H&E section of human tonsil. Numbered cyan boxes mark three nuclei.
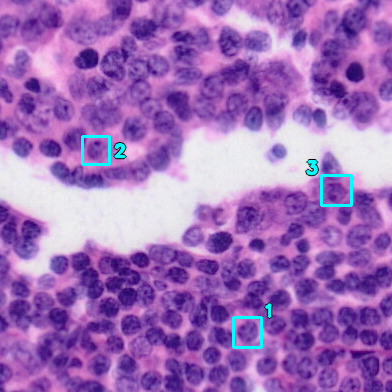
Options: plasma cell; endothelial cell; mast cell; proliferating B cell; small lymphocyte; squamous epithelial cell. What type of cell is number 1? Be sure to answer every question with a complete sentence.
Identified as a small lymphocyte is the cell bearing the number 1.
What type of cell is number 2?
The cell referred to as 2 is a proliferating B cell.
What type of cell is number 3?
Cell 3 of the marked set is a proliferating B cell.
